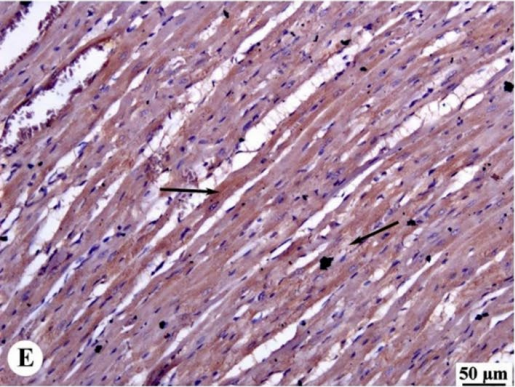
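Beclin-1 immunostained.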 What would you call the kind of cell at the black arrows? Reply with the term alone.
Cardiomyocytes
